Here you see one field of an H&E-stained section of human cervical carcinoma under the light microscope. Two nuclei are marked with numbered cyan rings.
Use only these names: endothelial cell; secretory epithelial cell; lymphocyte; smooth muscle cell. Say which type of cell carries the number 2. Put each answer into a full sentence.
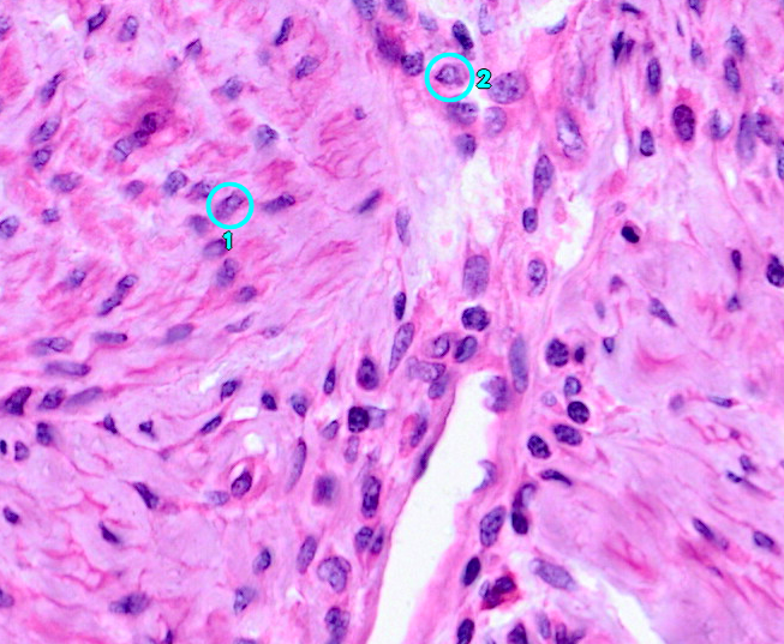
The nucleus labeled 2 belongs to an endothelial cell.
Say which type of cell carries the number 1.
Regarding cell 1, this one is a smooth muscle cell.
